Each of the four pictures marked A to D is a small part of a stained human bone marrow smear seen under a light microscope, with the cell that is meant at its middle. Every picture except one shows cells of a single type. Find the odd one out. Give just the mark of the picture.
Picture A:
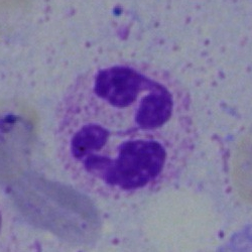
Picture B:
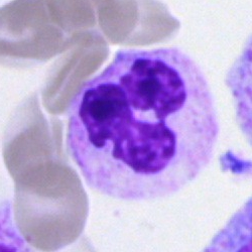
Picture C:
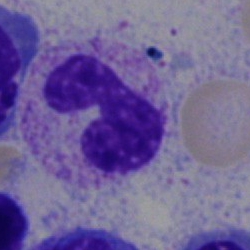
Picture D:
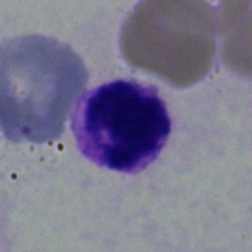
D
